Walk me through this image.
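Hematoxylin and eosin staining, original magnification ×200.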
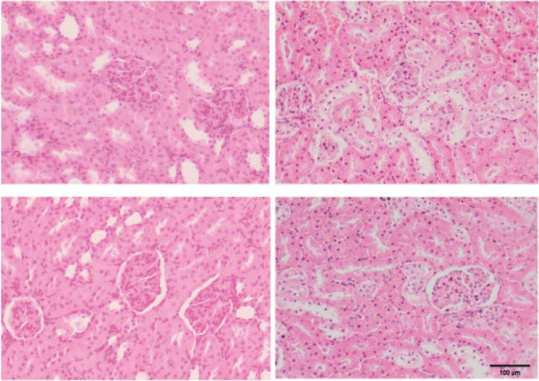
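Renal cortex with glomeruli set among pink-staining tubules in cross and oblique section. Tubular epithelium has pink cytoplasm and round purple nuclei around pale or open lumens. Scattered small dark nuclei lie between tubules and about the glomeruli.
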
